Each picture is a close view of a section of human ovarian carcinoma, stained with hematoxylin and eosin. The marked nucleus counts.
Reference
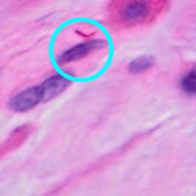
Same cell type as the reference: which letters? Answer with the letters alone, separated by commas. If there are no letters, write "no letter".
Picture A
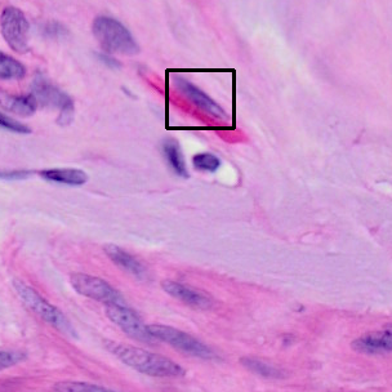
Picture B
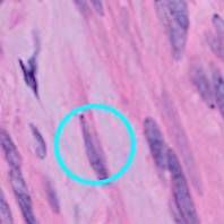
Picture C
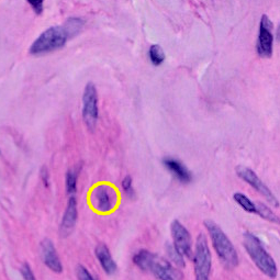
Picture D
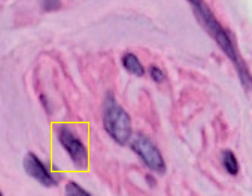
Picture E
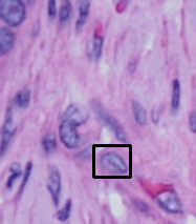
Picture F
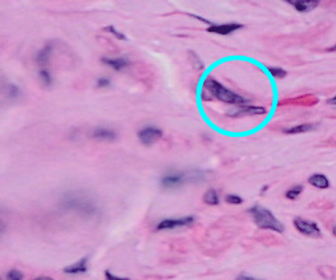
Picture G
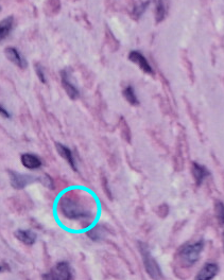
A, E, F, G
